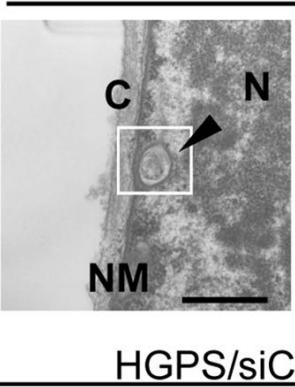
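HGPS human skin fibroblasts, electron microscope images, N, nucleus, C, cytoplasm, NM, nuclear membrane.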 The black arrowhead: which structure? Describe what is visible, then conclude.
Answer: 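A small rounded membrane-bound body lies at the nuclear envelope, inside the boxed area. The body sits between the nucleus and the cytoplasm, along the envelope.
Hence: vesicles in the perinuclear spaces.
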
